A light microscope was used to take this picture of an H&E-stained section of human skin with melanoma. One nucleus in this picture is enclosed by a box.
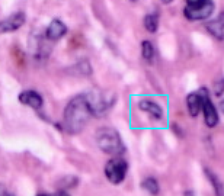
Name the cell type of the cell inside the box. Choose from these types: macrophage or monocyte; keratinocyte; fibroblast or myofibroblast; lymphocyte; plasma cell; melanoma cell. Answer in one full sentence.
To be brief about it, the cell inside the box is a lymphocyte.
